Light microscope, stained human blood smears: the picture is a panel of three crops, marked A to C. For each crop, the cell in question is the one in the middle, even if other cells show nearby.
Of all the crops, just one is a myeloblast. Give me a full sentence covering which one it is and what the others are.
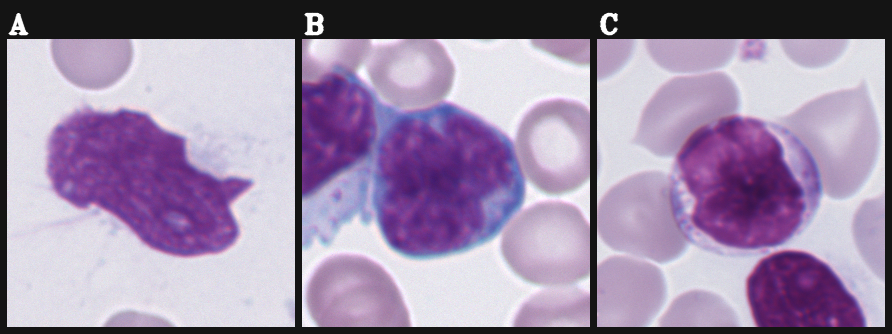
It is a myeloblast that crop B shows, while crop A is a smudge cell and crop C is a large granular lymphocyte.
